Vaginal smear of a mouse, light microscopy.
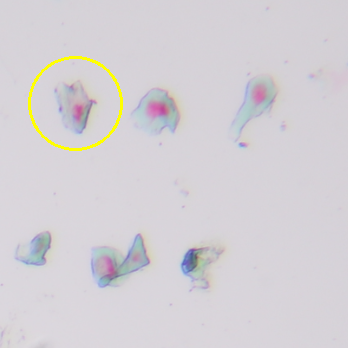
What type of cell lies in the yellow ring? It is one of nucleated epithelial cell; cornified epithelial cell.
The ringed cell is a nucleated epithelial cell.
